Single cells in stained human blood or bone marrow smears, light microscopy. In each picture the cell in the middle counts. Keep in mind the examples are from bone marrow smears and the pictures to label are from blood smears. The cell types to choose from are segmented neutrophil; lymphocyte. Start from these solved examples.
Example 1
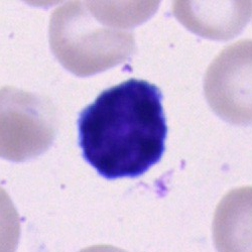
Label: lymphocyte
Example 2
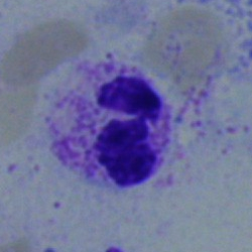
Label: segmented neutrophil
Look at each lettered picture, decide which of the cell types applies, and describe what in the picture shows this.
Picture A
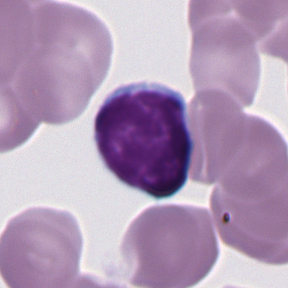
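Label: lymphocyte. Only a very thin rim of cytoplasm is visible around the nucleus.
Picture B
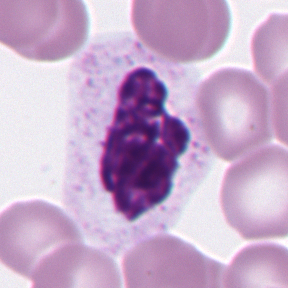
Label: segmented neutrophil. A broad rim of very pale, almost colourless cytoplasm surrounds the nucleus.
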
